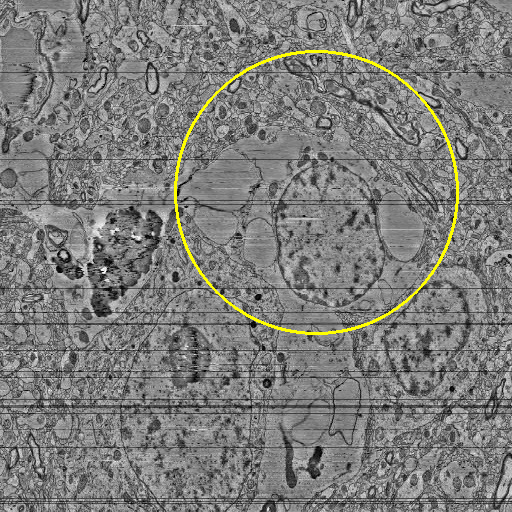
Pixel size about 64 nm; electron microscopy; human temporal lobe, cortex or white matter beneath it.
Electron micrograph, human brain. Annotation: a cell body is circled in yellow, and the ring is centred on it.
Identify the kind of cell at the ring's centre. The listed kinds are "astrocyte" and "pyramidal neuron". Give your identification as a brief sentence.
The circled cell body is that of an astrocyte.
